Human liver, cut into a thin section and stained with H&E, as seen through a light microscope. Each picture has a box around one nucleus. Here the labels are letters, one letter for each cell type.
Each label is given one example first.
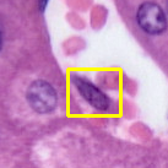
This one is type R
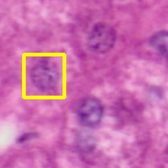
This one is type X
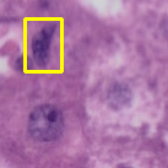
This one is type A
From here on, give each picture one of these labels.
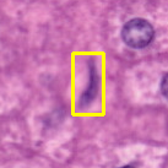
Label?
type R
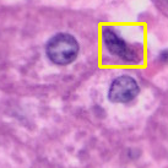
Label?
type R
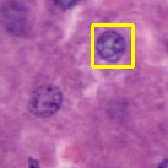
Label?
type X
